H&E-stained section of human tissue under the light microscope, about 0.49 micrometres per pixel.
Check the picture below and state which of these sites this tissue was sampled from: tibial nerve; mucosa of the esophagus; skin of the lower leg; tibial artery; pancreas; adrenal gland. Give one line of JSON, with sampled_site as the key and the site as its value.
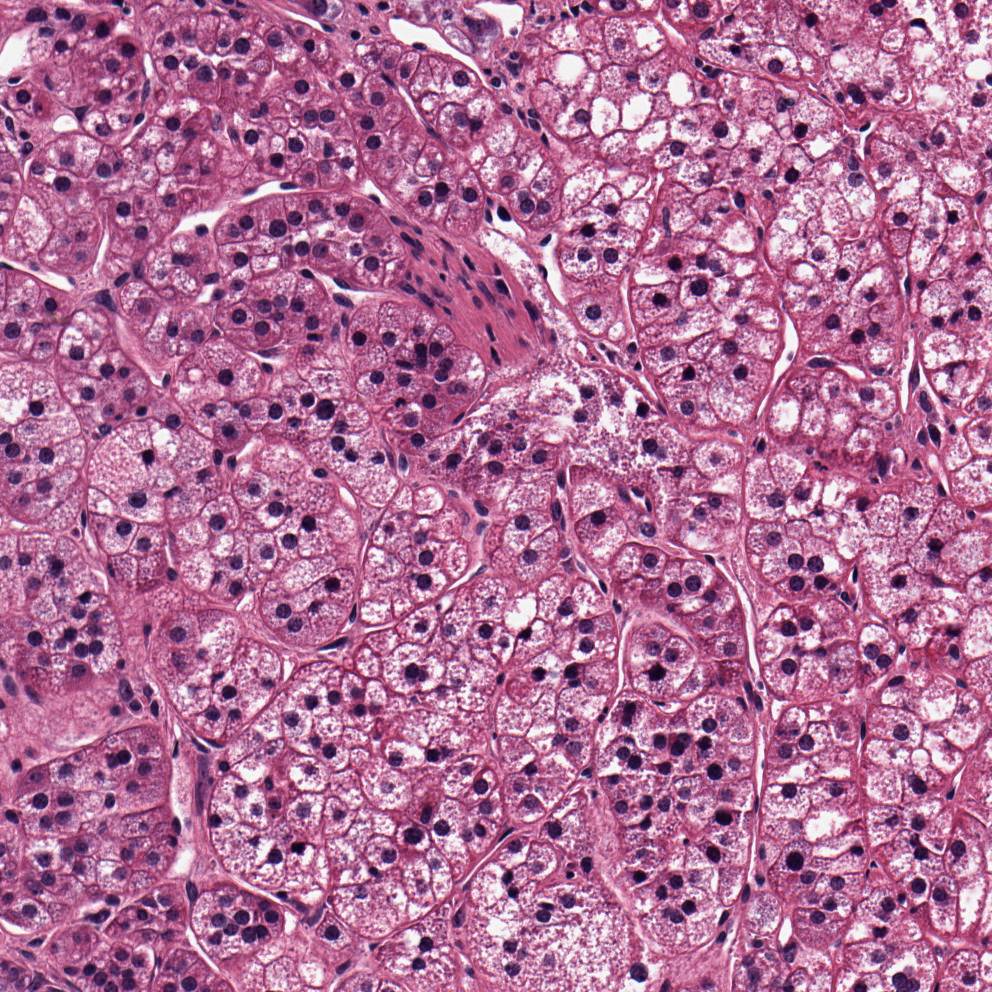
{"sampled_site": "adrenal gland"}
